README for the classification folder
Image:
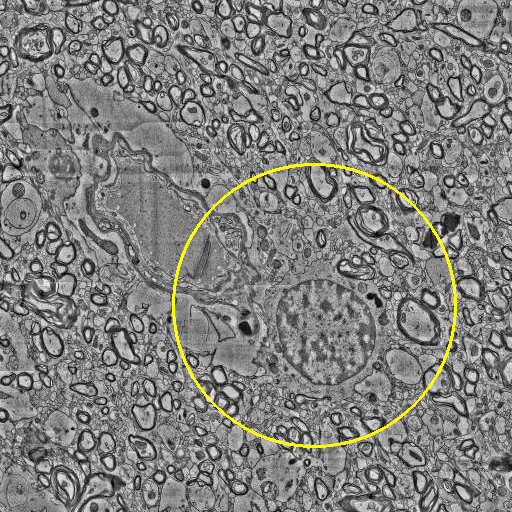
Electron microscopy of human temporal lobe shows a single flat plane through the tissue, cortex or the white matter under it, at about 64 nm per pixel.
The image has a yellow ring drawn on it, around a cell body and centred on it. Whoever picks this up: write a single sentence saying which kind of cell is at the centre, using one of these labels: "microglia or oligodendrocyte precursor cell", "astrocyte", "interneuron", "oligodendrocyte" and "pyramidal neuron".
This cell body is that of an oligodendrocyte.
